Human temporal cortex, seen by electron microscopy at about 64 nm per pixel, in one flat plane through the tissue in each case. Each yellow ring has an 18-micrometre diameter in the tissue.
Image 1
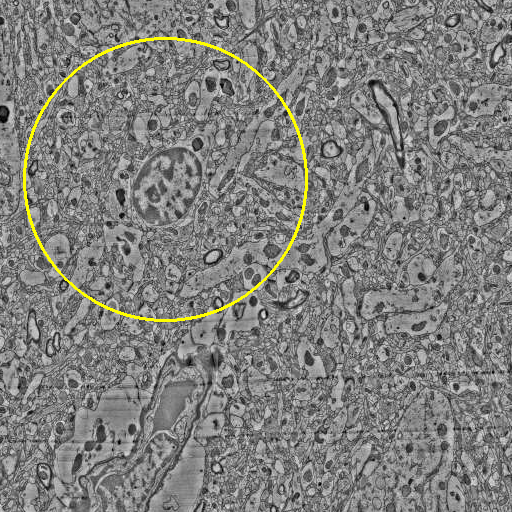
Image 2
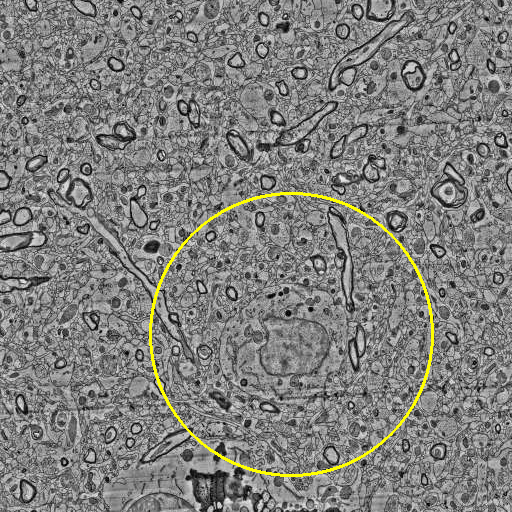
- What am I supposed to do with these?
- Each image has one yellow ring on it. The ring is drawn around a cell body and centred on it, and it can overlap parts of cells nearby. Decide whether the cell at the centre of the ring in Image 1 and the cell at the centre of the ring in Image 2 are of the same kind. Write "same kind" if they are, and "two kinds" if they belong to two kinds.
two kinds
